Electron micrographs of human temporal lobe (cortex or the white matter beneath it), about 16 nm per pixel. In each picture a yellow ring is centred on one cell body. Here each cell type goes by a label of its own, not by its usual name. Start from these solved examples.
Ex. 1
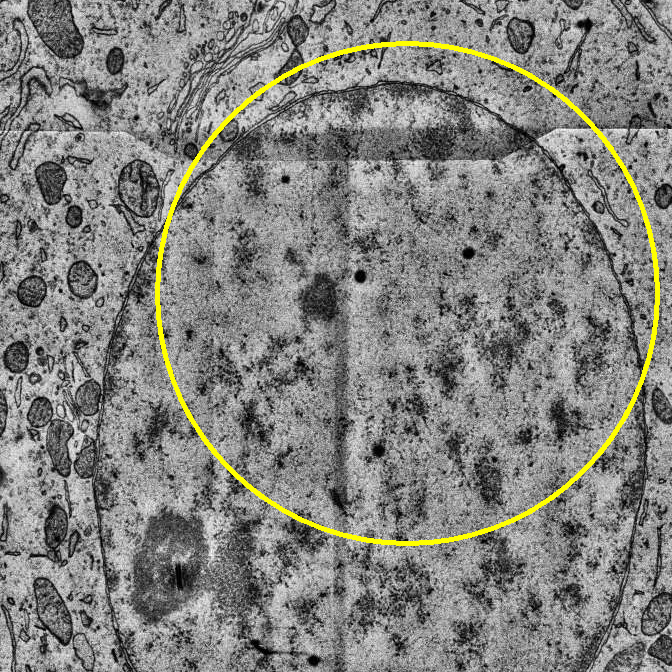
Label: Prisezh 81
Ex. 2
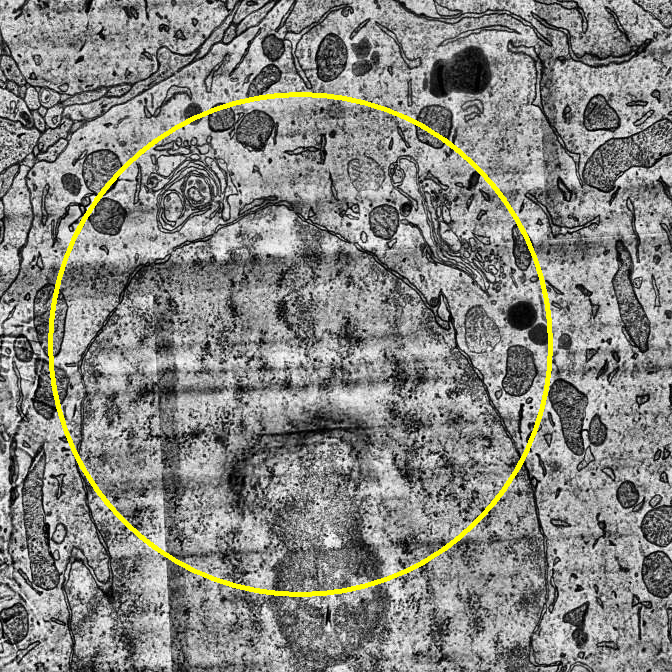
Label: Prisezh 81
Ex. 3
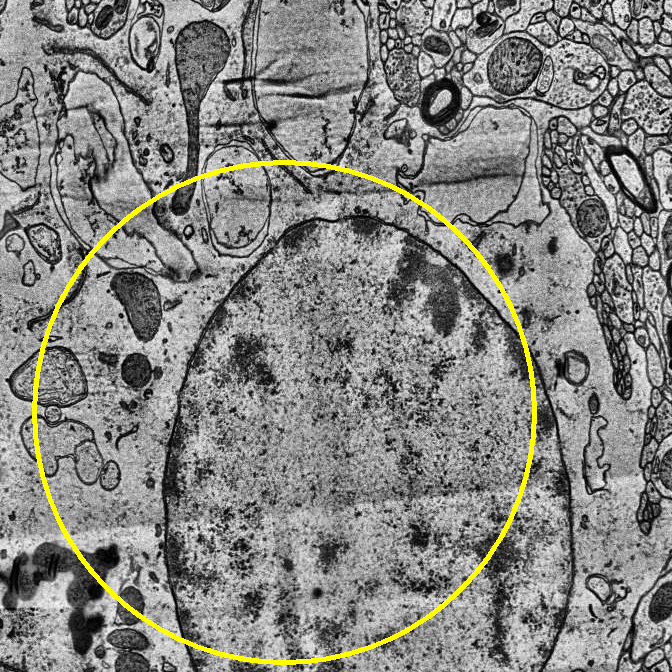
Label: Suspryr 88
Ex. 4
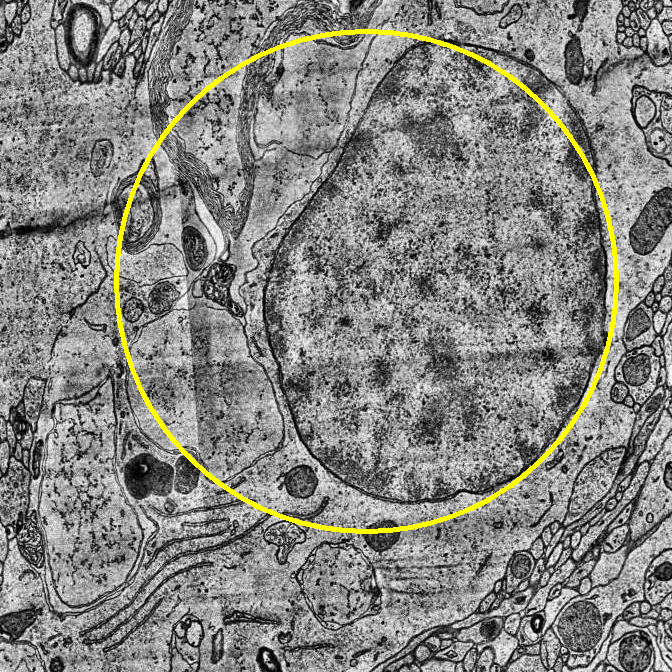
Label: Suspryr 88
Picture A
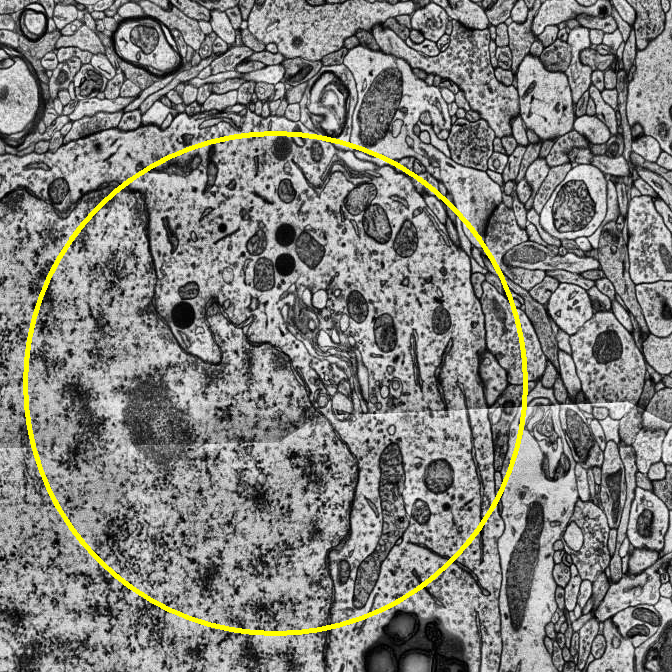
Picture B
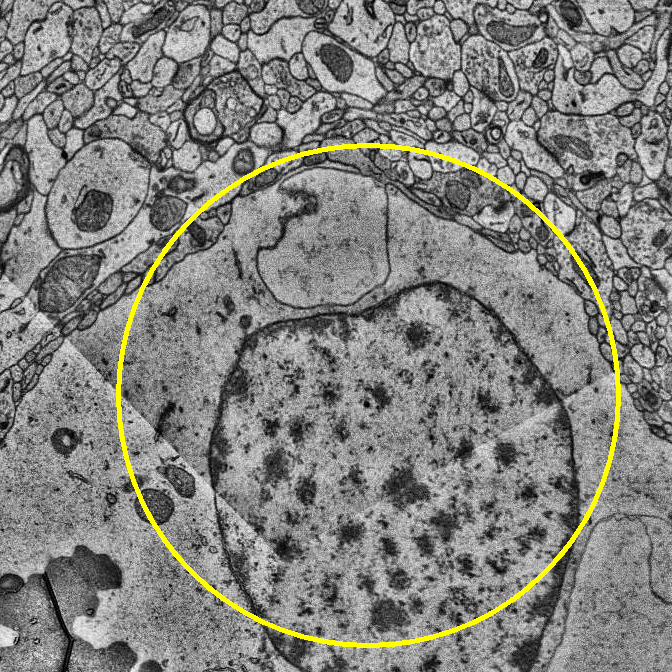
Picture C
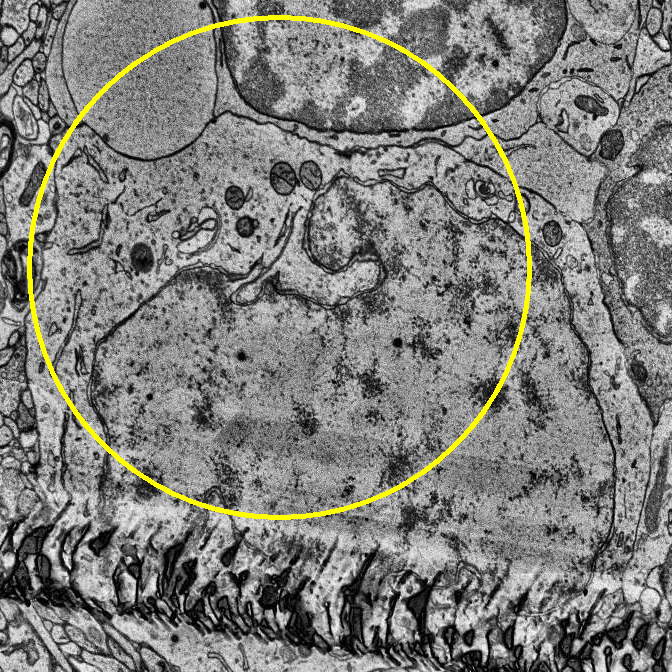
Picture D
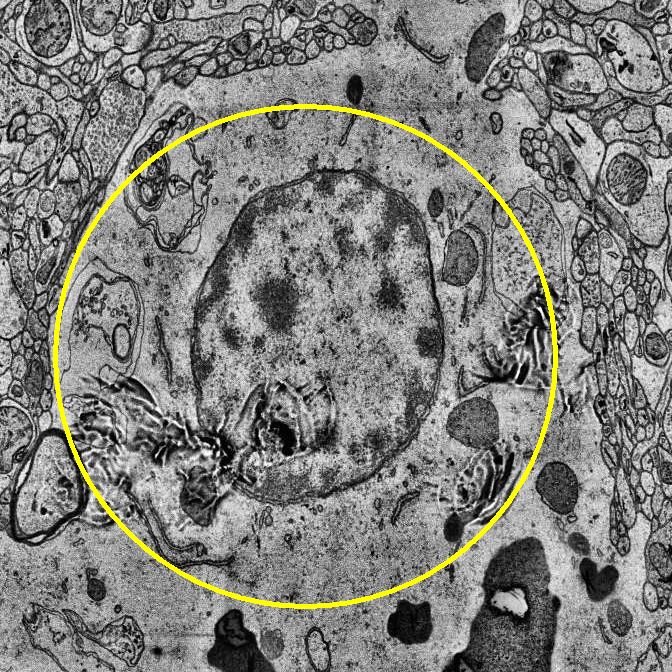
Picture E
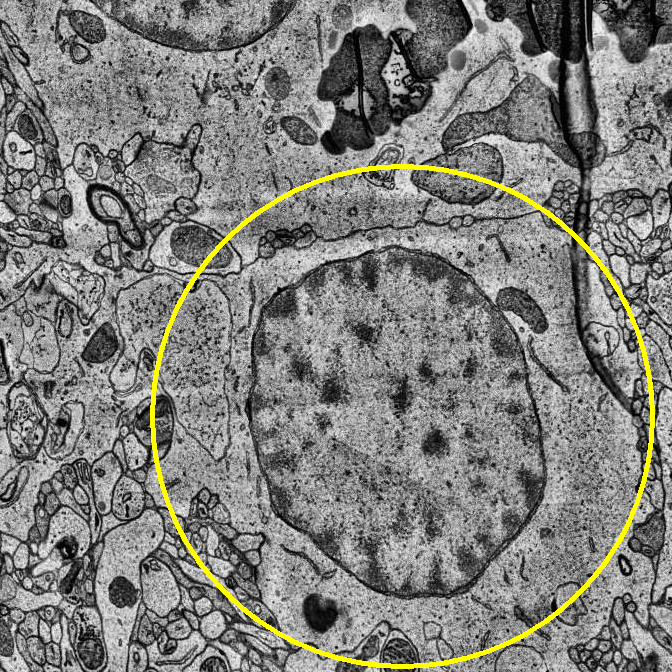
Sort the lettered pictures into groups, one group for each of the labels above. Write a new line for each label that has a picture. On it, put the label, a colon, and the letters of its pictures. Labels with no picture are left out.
Prisezh 81: A, C
Suspryr 88: B, D, E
